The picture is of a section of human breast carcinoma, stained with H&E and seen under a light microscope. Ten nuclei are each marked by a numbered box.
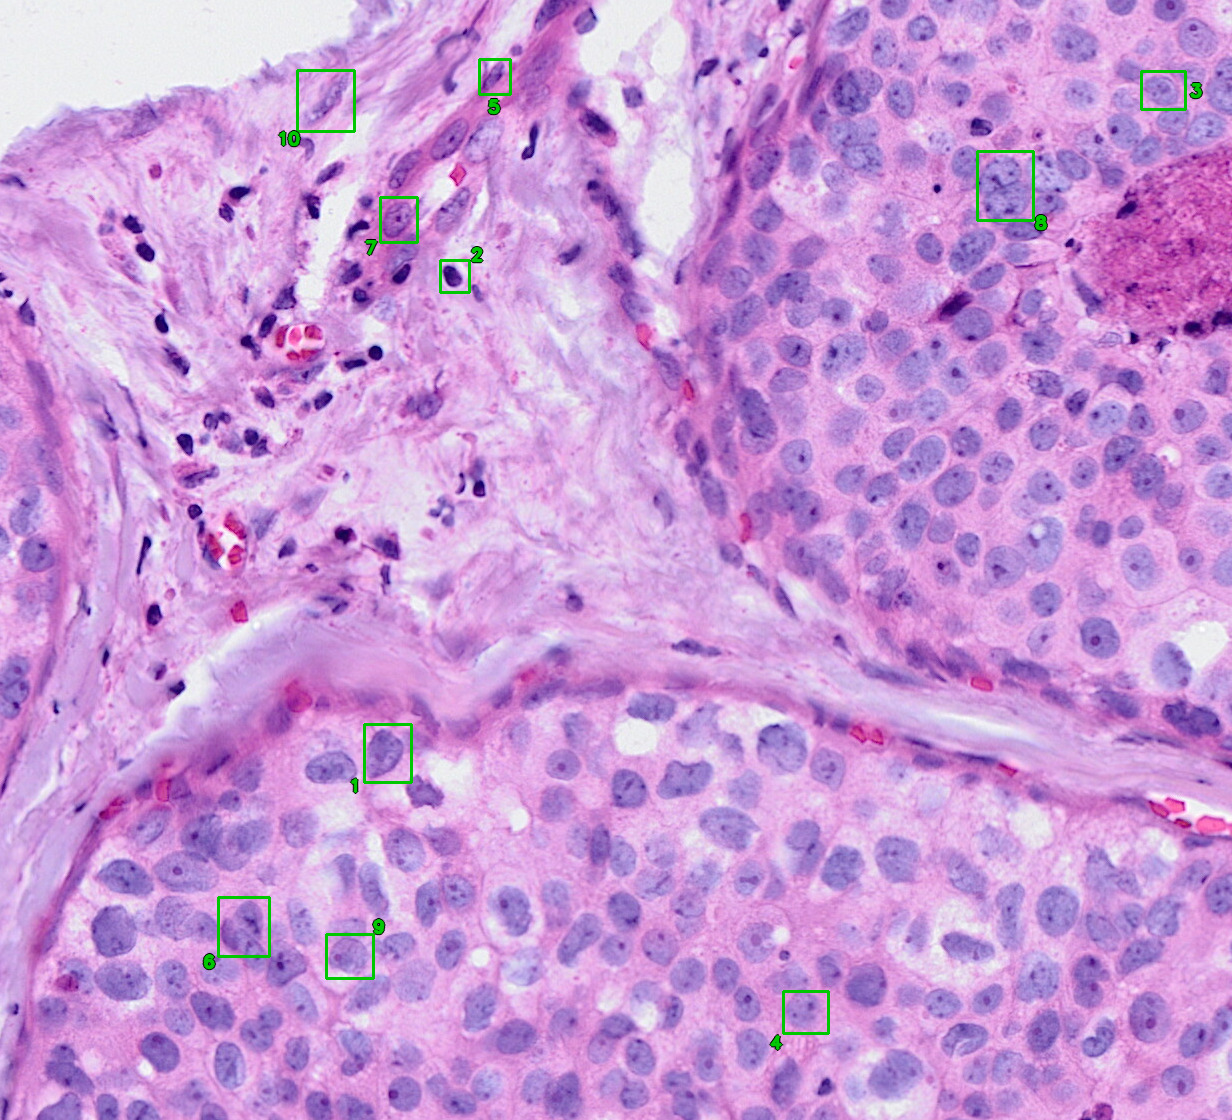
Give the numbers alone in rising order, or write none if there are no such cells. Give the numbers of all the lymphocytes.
2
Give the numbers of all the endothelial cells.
5, 7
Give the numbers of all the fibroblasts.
10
